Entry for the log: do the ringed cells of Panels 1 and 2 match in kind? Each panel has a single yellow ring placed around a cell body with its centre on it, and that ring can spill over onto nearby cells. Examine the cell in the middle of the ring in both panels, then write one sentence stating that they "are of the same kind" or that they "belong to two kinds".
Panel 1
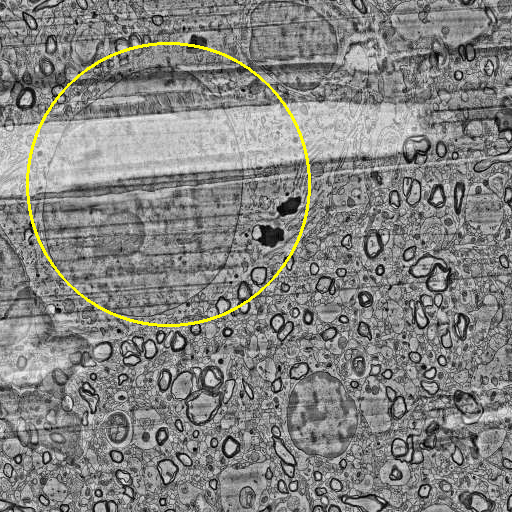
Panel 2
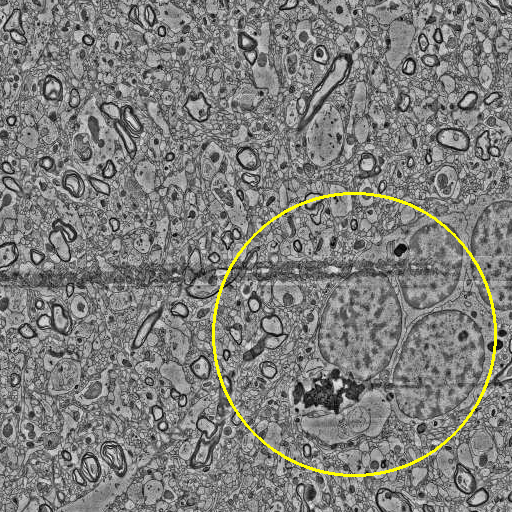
The centre cell of Panel 1's ring and that of Panel 2's ring belong to two kinds.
